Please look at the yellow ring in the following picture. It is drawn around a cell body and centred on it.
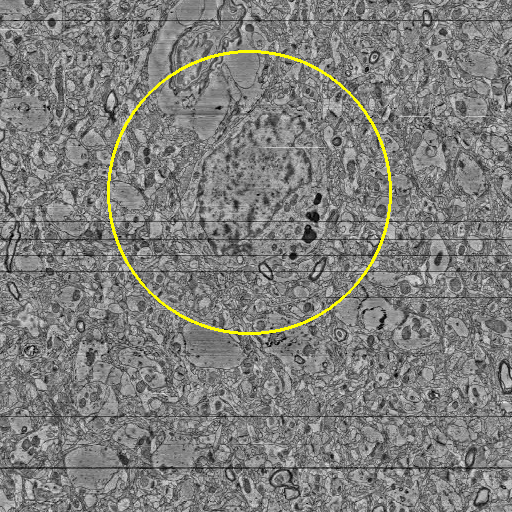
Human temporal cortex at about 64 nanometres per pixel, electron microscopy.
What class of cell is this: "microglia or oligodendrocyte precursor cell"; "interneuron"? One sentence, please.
The ring surrounds the cell body of an interneuron.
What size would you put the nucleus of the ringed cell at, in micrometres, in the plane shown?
The nucleus comes to roughly 9 by 6 micrometres in this plane.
